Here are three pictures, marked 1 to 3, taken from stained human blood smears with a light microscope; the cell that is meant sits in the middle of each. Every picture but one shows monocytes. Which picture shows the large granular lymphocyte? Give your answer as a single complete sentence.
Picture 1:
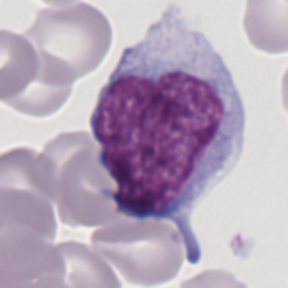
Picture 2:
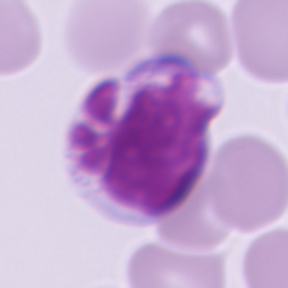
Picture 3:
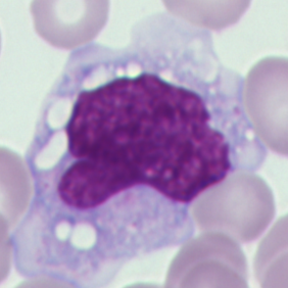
Picture 2 is the one that shows the large granular lymphocyte.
